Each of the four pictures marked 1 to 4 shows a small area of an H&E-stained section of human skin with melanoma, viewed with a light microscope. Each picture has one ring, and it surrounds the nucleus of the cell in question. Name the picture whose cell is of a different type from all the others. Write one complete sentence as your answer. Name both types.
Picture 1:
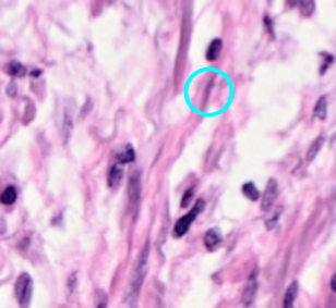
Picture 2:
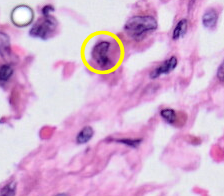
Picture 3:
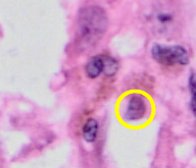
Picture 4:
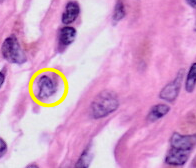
All pictures except 1 show “macrophages or monocytes”; picture 1 shows a “fibroblast or myofibroblast”.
